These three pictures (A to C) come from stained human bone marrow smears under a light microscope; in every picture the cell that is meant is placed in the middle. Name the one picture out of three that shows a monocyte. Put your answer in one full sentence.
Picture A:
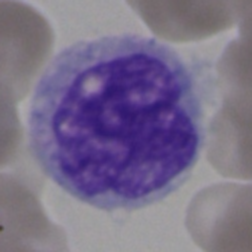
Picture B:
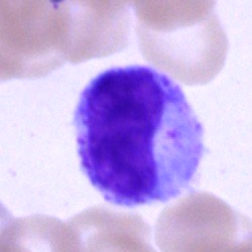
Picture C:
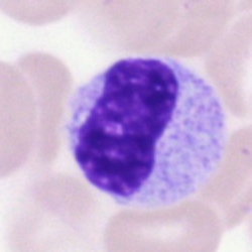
The picture with the monocyte is A.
